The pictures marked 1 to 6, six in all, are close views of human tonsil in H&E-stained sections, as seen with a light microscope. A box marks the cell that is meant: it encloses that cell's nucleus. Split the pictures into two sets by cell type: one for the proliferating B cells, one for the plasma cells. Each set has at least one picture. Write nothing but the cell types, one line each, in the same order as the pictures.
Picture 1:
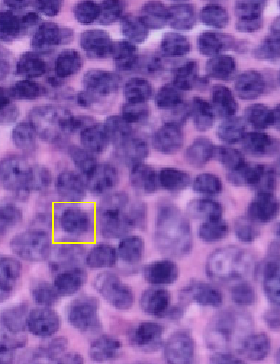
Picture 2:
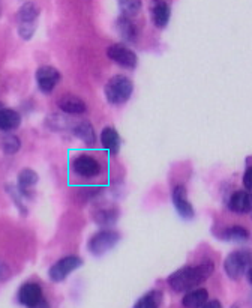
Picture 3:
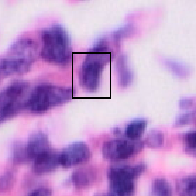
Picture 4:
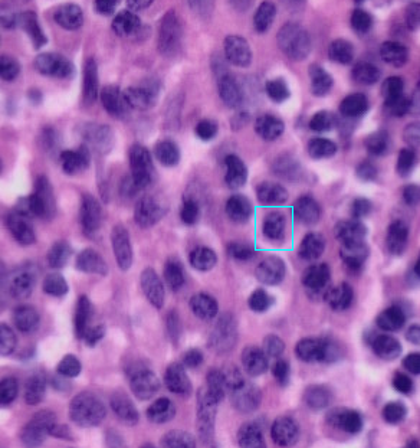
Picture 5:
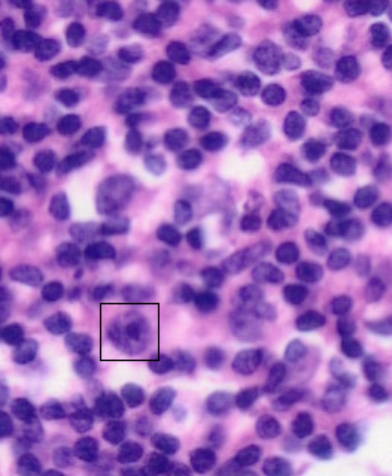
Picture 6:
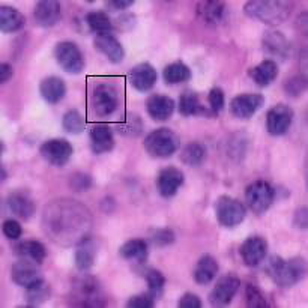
proliferating B cell
plasma cell
proliferating B cell
plasma cell
proliferating B cell
plasma cell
